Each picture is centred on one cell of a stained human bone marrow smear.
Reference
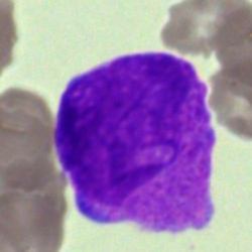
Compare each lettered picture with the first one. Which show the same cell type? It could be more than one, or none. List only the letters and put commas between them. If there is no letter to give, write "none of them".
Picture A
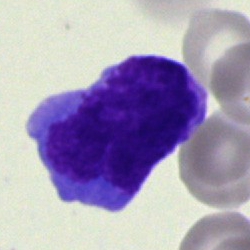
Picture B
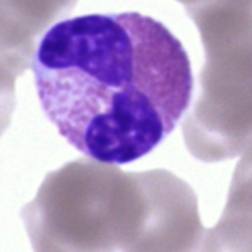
A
